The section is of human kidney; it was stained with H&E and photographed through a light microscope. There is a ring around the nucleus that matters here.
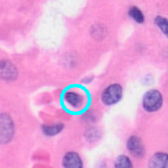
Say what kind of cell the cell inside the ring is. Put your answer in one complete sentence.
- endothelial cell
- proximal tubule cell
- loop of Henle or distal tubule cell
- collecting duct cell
In this tissue section, the cell inside the ring is to be classed as an endothelial cell.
